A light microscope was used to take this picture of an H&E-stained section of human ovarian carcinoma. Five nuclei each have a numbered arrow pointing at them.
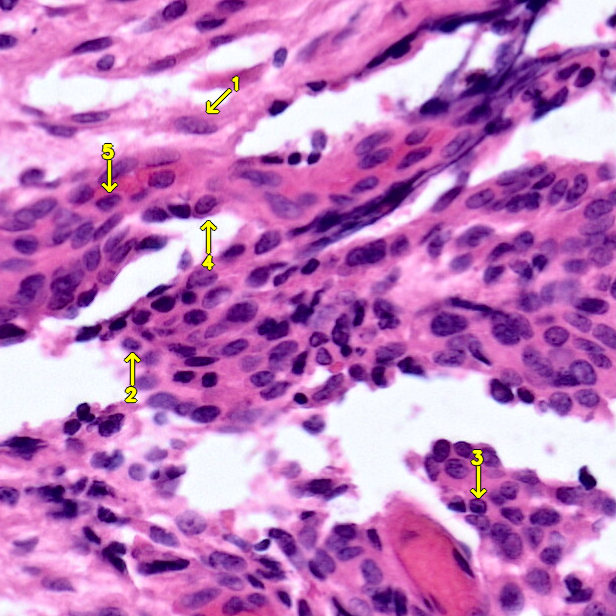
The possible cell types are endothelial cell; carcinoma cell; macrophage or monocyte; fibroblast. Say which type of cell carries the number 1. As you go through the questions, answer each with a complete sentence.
In this section, the cell numbered 1 is a fibroblast.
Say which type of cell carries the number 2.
Here, the cell given the number 2 is a macrophage or monocyte.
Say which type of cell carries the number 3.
The cell marked with the number 3 is a macrophage or monocyte.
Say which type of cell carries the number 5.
Number 5 among the marked cells is an endothelial cell.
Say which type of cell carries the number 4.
Cell 4 of the marked set is a carcinoma cell.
